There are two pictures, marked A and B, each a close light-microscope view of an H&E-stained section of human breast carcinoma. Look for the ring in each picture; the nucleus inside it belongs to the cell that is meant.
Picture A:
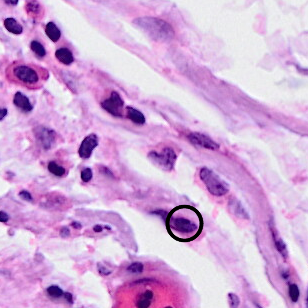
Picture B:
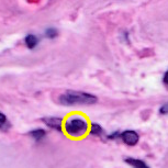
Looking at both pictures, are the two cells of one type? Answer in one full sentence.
No, they differ: the cell is a mast cell in picture A and a lymphocyte in picture B.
